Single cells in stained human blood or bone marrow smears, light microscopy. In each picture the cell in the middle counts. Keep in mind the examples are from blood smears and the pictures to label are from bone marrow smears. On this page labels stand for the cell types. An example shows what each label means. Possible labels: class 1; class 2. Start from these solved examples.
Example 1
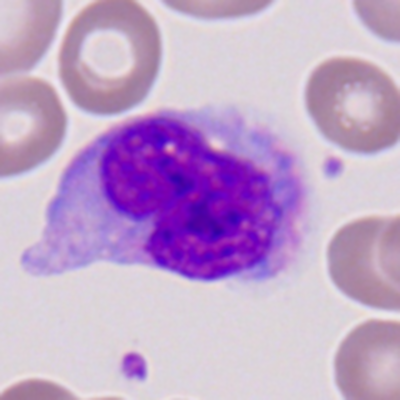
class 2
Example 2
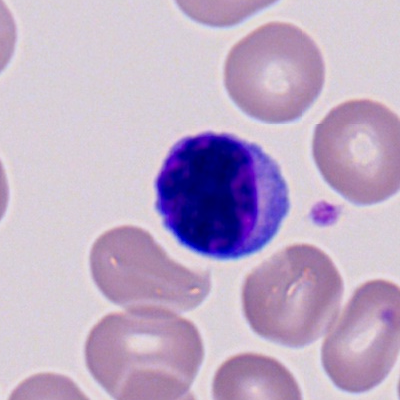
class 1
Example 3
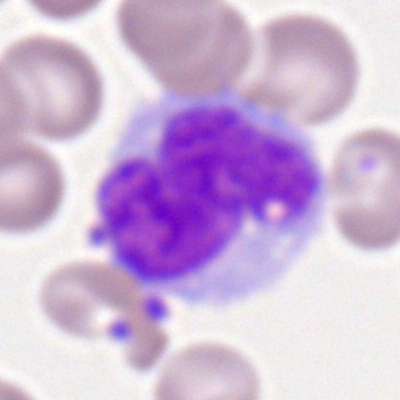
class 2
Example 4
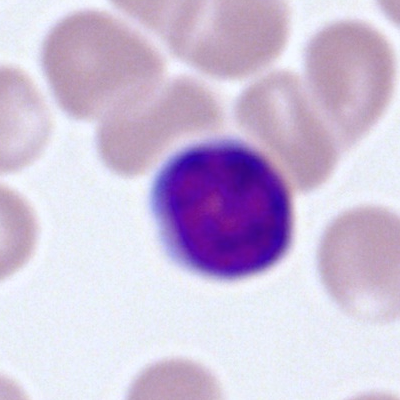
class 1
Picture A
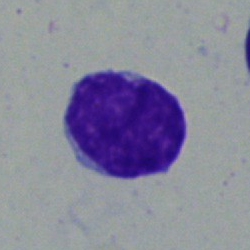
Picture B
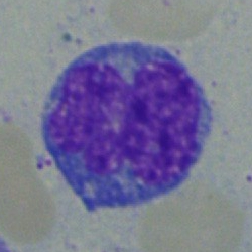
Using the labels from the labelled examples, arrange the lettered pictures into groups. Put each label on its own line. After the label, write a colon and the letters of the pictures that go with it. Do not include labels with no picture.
class 1: A
class 2: B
